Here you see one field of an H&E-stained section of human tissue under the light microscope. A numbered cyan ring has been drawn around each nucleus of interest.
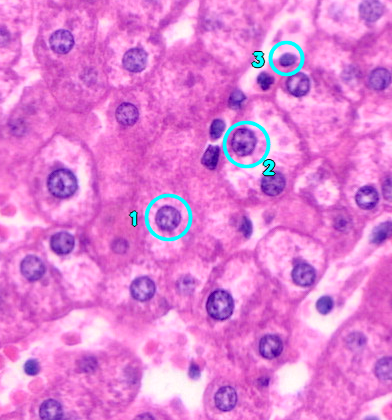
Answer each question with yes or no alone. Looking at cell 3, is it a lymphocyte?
yes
